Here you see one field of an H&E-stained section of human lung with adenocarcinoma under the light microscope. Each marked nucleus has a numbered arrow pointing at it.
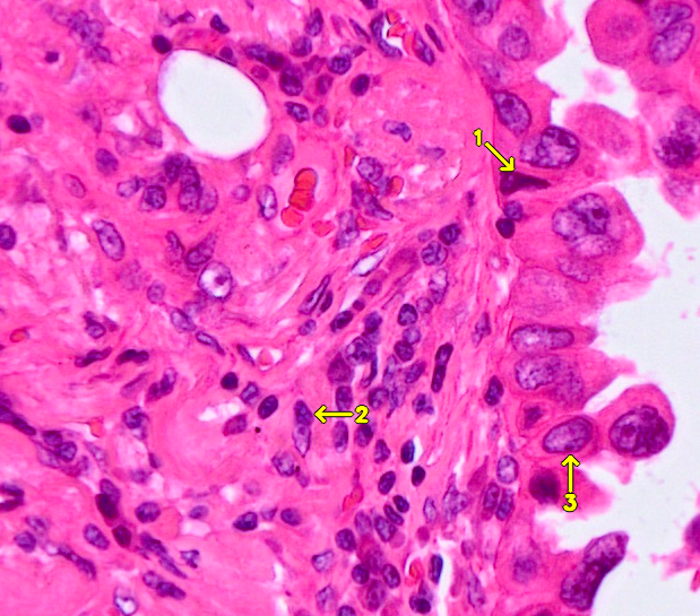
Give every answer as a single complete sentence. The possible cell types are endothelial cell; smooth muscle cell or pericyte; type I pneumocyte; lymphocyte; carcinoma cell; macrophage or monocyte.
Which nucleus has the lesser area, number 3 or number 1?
Number 1 is smaller, since number 3 takes up about 1.5 times as much area.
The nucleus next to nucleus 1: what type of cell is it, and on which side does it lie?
The nearest nucleus is that of a lymphocyte and lies below nucleus 1.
